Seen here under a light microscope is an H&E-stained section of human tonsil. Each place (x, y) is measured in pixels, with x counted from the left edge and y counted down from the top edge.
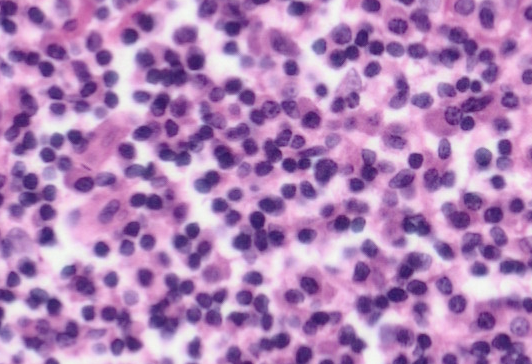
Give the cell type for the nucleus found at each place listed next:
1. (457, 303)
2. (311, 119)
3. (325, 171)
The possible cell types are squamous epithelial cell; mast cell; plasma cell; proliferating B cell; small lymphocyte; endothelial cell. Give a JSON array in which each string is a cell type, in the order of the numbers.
["plasma cell", "plasma cell", "proliferating B cell"]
